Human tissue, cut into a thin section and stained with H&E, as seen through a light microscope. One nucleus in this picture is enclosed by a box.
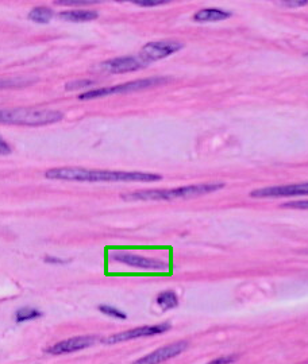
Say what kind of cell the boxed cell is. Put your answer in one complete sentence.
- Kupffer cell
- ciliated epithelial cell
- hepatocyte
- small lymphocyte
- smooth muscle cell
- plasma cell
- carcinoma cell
The identity of the boxed cell is that of a smooth muscle cell.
